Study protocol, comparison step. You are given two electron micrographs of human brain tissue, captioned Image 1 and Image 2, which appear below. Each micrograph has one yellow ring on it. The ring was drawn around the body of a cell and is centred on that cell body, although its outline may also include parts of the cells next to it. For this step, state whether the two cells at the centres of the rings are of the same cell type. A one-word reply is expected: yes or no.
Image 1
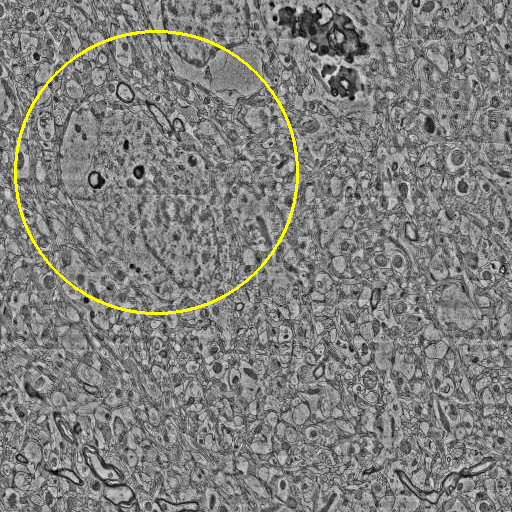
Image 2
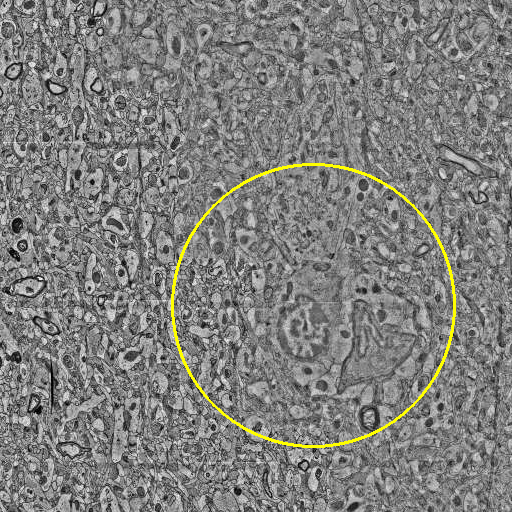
no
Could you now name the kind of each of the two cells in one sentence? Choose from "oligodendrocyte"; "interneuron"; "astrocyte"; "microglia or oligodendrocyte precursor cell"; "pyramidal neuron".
The first ring encloses an interneuron; the second ring encloses an oligodendrocyte.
